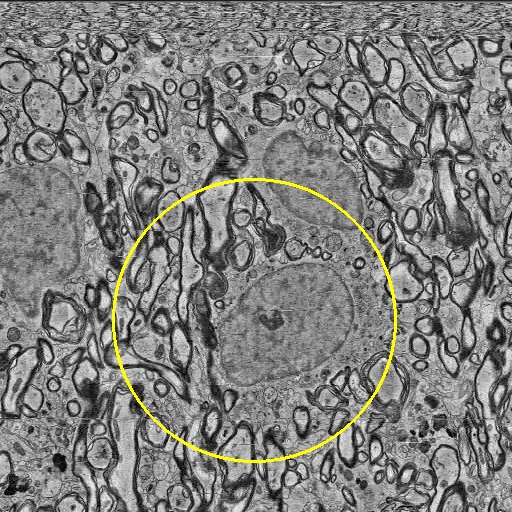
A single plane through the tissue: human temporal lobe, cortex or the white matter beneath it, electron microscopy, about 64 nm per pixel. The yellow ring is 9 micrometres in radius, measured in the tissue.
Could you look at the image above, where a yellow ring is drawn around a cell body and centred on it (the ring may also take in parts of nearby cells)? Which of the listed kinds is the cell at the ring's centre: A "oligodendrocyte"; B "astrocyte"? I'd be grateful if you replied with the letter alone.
A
